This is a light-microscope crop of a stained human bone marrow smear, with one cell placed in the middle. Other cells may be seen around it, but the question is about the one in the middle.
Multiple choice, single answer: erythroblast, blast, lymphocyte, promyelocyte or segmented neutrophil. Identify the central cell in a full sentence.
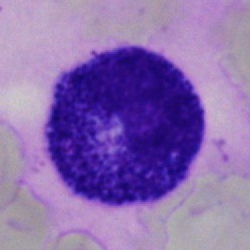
The cell featured at the centre of this crop is a promyelocyte.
